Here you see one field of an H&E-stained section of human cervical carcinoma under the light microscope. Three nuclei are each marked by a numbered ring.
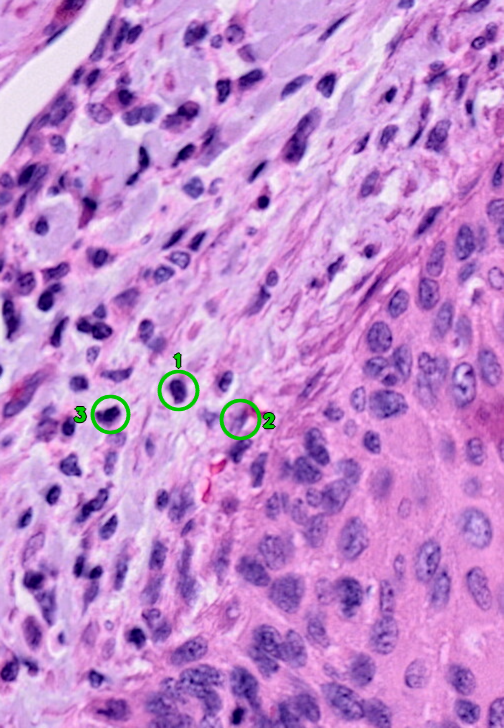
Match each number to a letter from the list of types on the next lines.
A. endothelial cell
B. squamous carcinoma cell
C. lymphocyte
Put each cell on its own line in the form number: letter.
1: C
2: A
3: C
